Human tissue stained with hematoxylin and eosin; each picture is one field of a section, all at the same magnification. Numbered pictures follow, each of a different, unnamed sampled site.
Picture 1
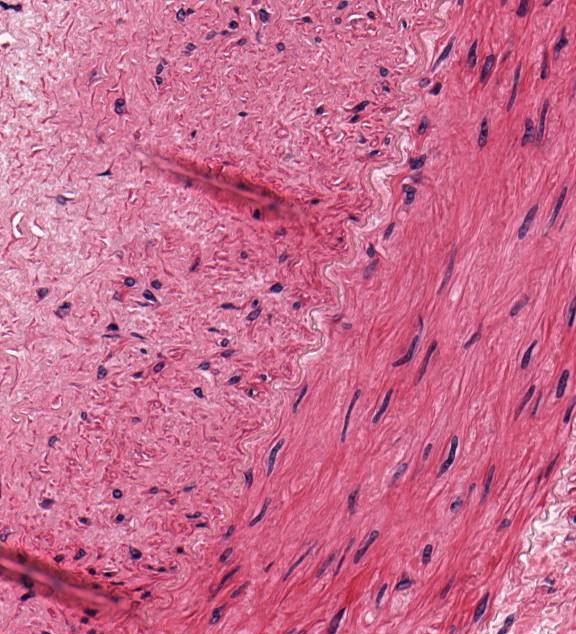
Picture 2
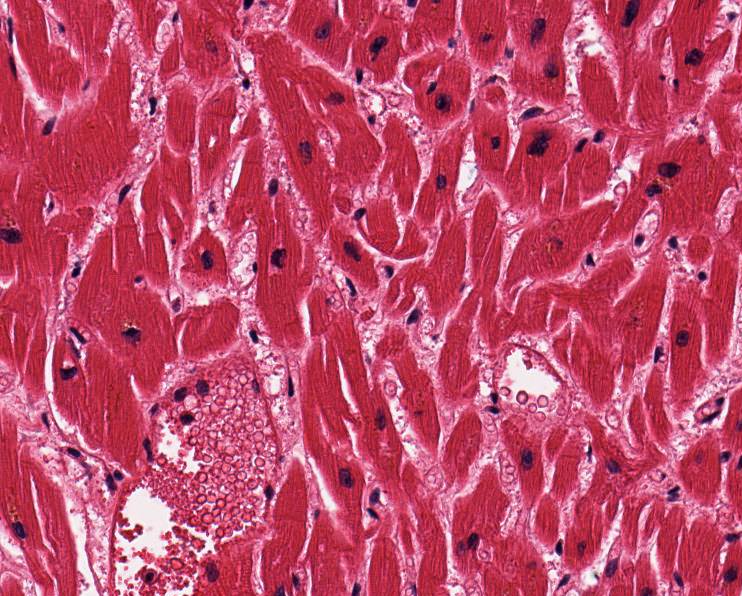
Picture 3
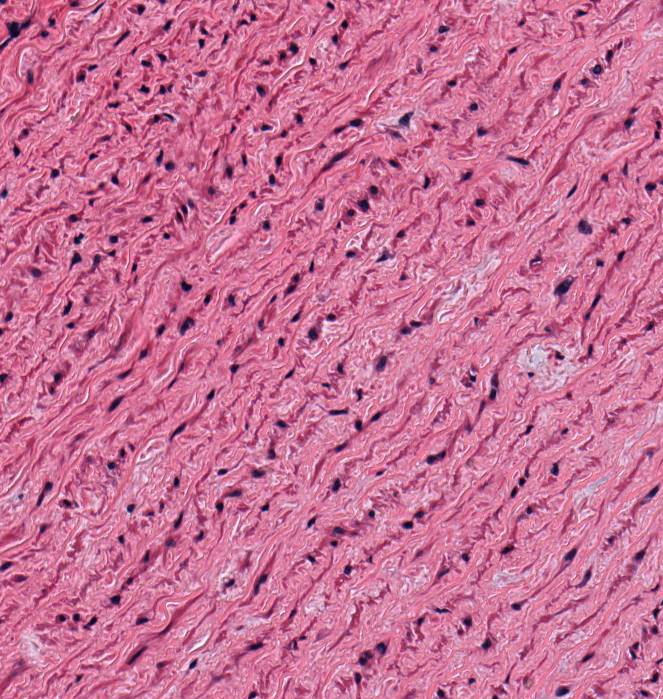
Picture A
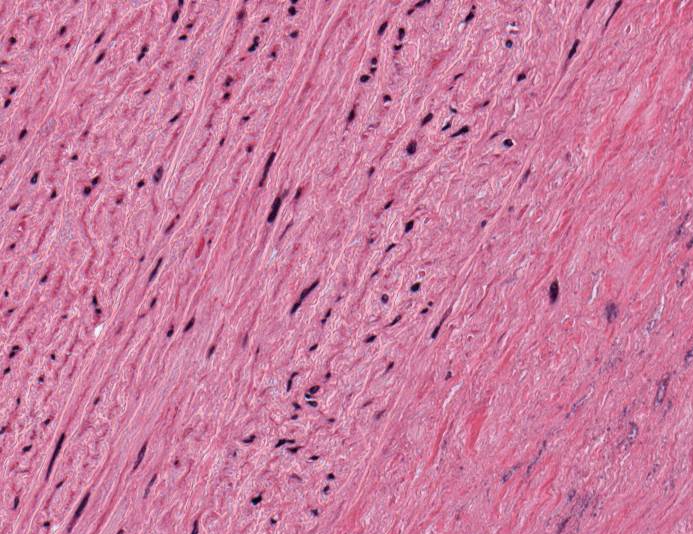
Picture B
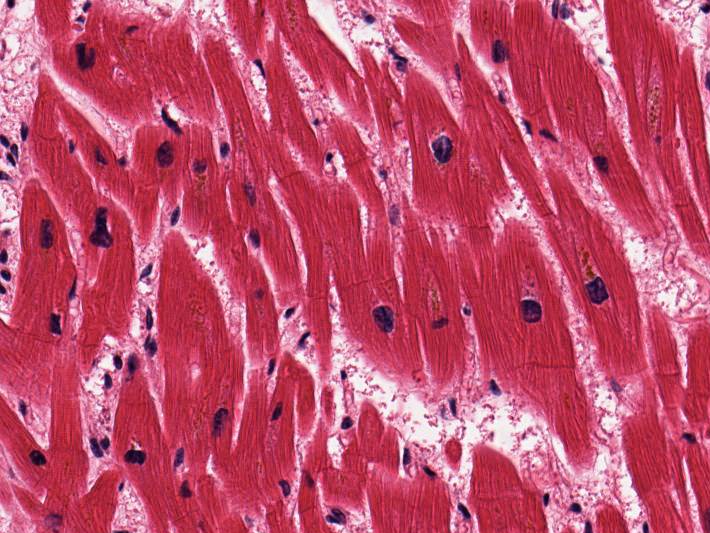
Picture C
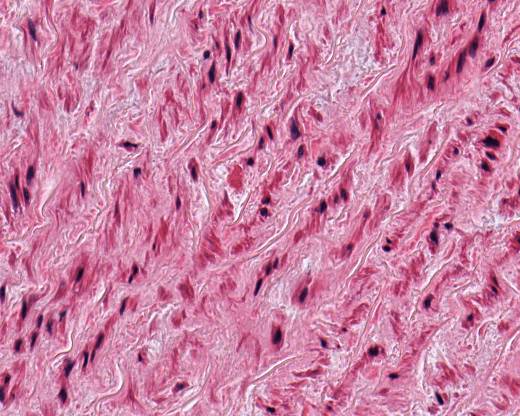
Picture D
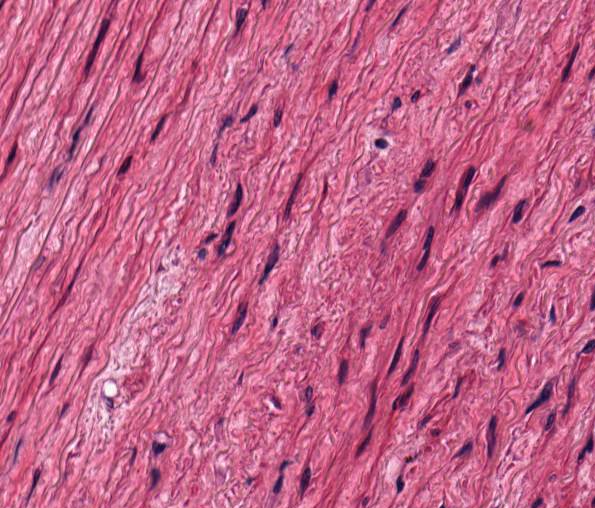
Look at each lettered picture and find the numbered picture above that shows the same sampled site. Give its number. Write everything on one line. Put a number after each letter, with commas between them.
A 3, B 2, C 3, D 3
